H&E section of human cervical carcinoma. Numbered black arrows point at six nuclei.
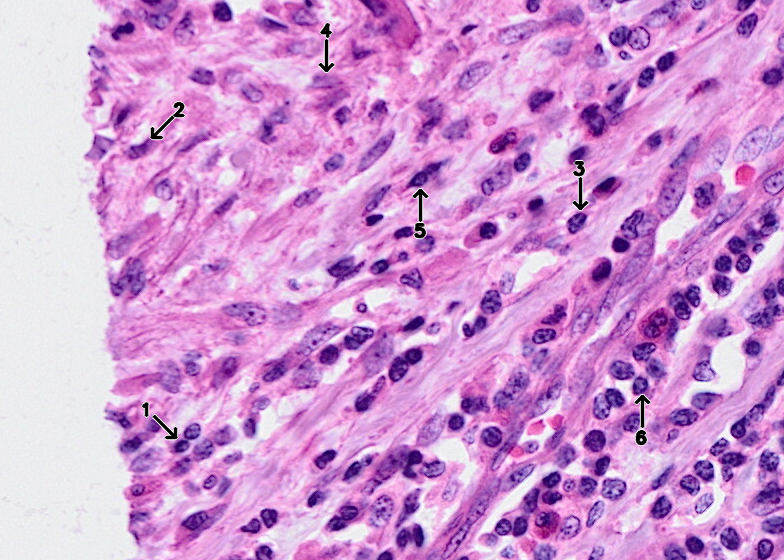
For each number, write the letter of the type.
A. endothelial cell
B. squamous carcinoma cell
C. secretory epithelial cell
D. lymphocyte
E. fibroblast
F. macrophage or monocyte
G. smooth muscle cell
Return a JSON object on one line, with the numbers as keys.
{"1": "D", "2": "E", "3": "D", "4": "E", "5": "D", "6": "D"}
